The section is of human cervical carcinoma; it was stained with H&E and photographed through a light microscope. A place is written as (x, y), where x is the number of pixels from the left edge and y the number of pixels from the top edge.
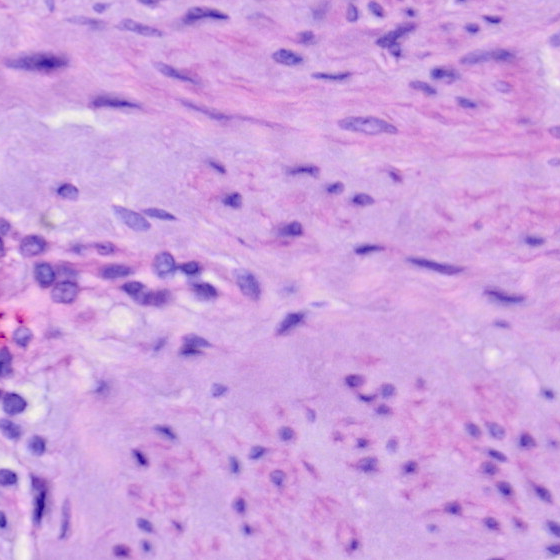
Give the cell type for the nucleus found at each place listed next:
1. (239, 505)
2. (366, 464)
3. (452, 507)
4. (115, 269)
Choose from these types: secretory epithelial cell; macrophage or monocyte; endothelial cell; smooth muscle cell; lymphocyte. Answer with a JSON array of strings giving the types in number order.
["smooth muscle cell", "smooth muscle cell", "smooth muscle cell", "endothelial cell"]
